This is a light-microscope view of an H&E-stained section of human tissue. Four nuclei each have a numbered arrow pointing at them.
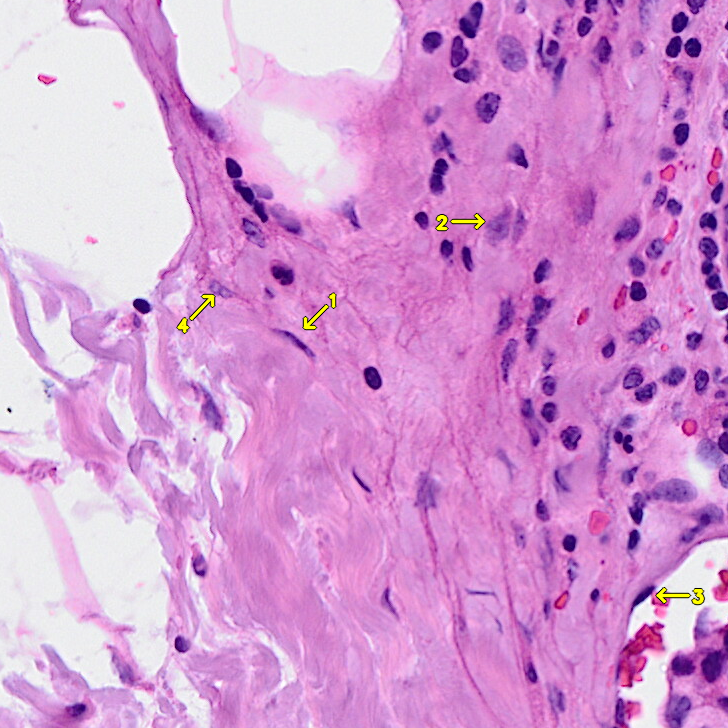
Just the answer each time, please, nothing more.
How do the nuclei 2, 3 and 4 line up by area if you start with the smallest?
3, 4, 2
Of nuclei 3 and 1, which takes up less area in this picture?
3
